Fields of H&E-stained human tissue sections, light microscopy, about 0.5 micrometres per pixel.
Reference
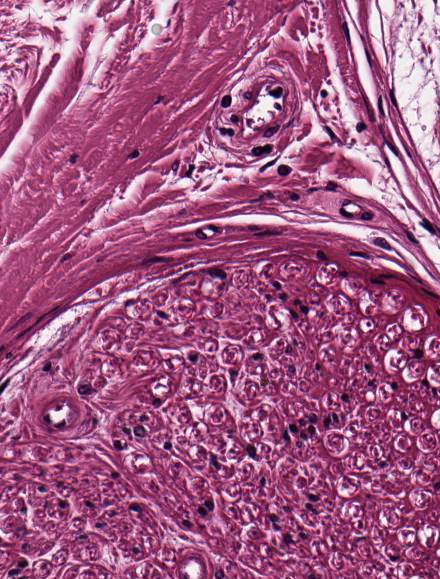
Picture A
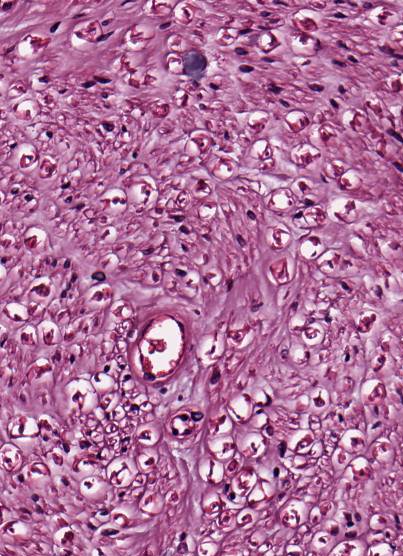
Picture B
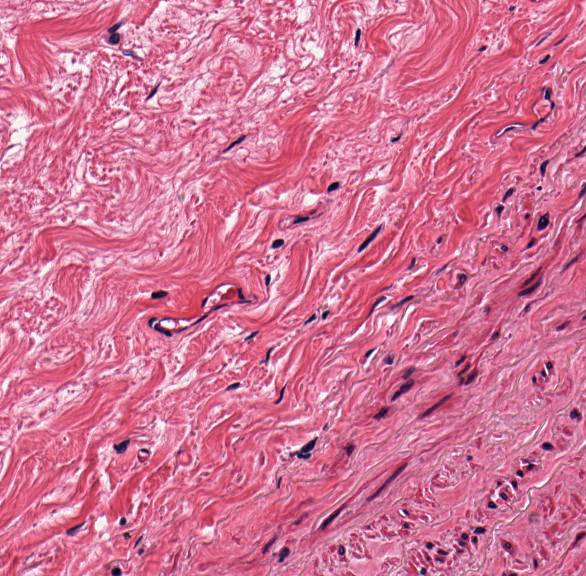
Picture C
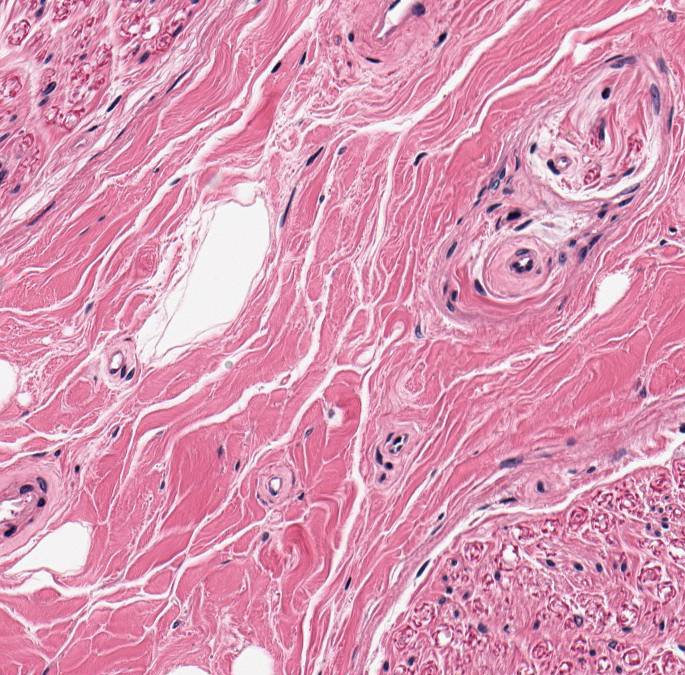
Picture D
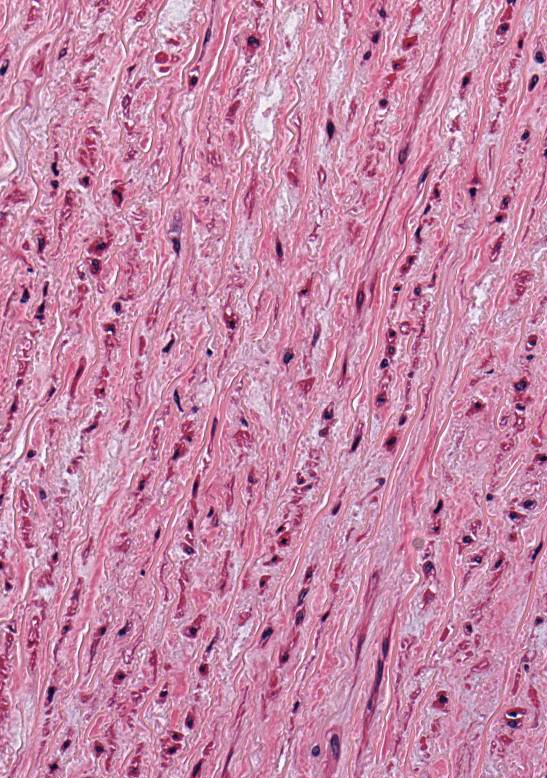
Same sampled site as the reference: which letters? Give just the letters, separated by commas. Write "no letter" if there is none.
A, C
